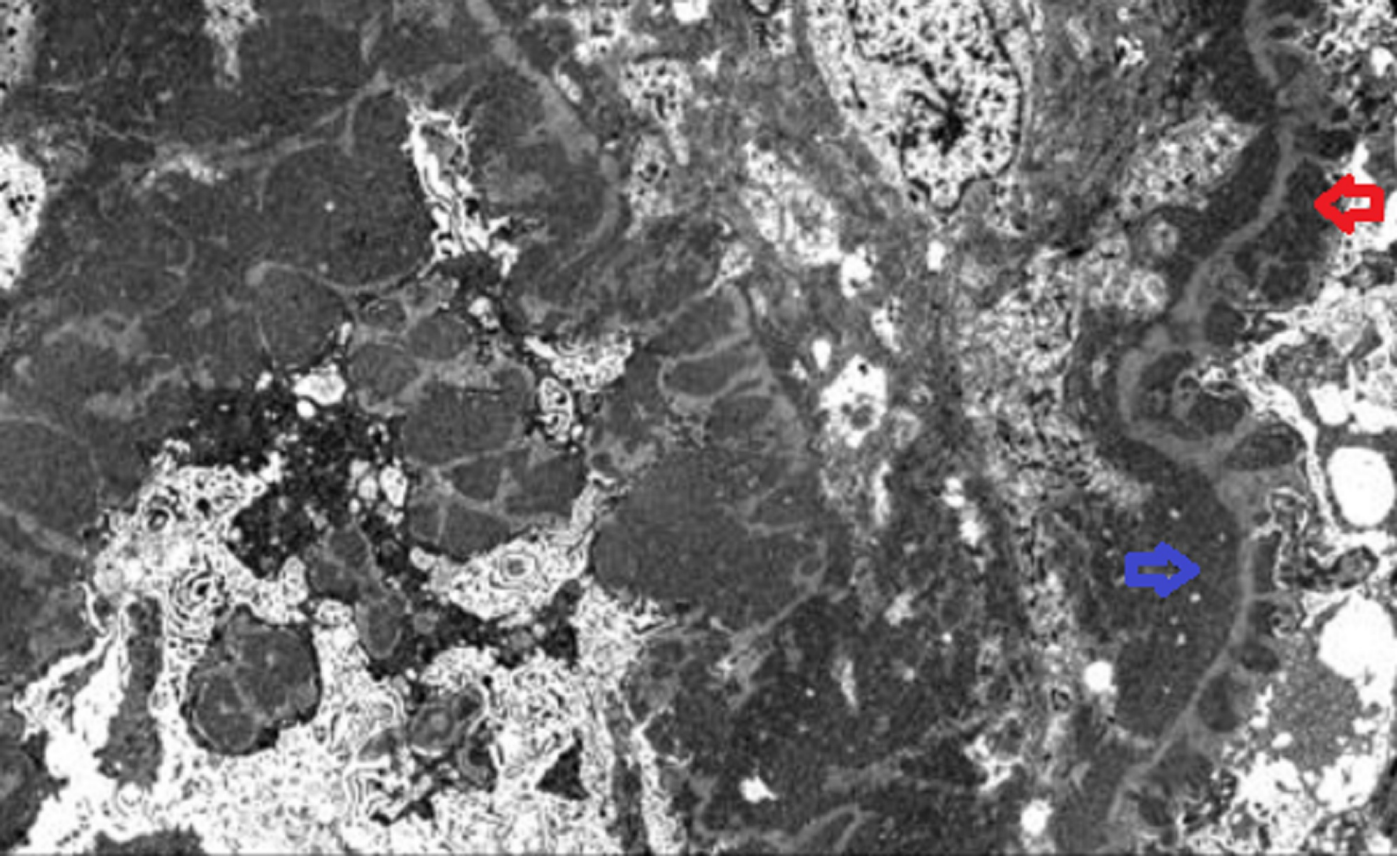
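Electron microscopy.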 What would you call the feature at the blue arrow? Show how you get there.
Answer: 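The blue arrow points at a broad, dark, dense mass on one side of the thickened band. A paler gray line runs along the other side of this dark mass.
Hence: subendothelial.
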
